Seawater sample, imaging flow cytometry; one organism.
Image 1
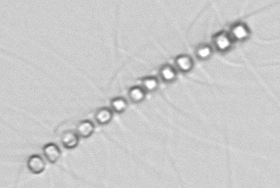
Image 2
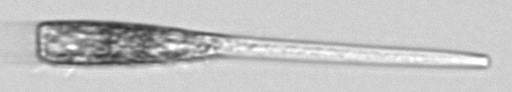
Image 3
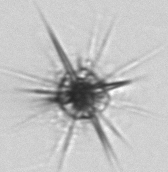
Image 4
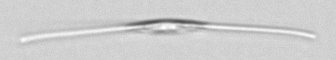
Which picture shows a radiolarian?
Picture 3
